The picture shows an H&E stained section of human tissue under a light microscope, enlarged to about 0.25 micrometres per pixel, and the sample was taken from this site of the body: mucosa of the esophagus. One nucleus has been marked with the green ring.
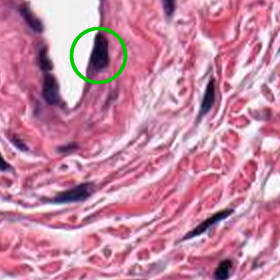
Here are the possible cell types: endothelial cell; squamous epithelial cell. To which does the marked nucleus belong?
endothelial cell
